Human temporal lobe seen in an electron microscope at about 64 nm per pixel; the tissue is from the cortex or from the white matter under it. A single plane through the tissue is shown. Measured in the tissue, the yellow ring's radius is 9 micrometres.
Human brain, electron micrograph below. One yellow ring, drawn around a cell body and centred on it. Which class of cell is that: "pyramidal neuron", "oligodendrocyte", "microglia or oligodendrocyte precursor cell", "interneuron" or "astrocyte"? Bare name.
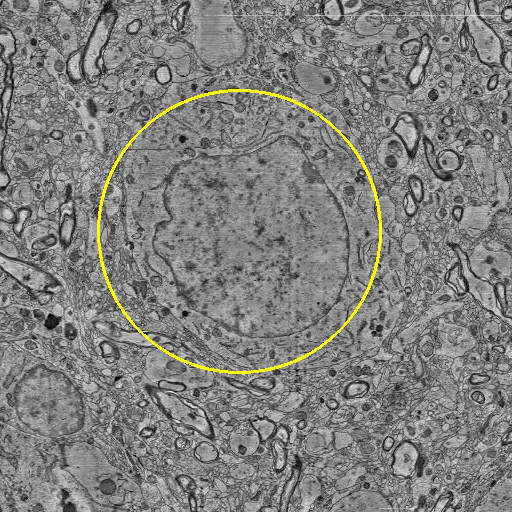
interneuron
